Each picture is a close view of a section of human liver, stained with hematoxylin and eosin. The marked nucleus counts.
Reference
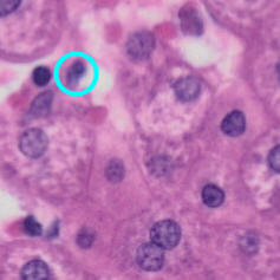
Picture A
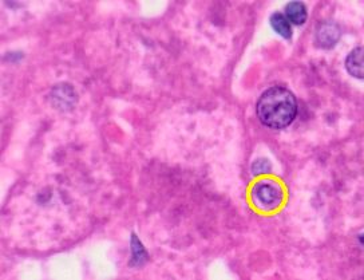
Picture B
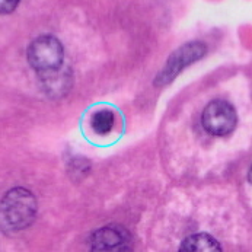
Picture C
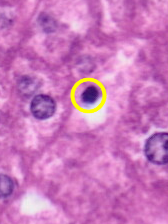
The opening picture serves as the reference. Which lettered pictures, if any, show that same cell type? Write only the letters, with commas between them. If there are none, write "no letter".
B, C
